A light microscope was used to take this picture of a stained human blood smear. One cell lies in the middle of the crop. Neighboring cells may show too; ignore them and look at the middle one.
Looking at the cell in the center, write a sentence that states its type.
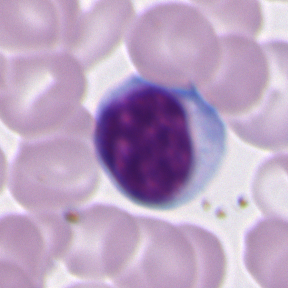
This particular crop is centered on a typical lymphocyte.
